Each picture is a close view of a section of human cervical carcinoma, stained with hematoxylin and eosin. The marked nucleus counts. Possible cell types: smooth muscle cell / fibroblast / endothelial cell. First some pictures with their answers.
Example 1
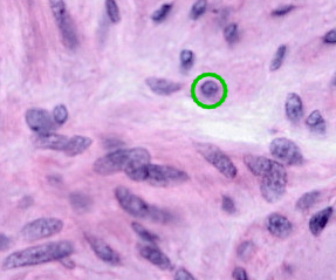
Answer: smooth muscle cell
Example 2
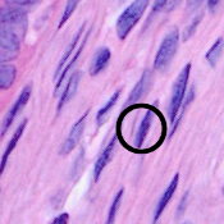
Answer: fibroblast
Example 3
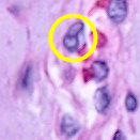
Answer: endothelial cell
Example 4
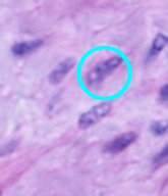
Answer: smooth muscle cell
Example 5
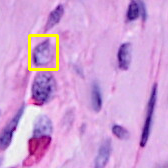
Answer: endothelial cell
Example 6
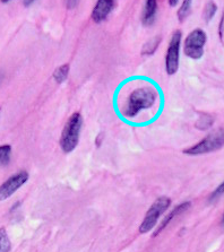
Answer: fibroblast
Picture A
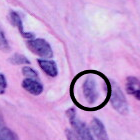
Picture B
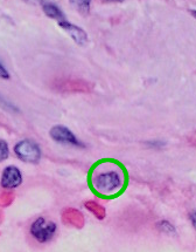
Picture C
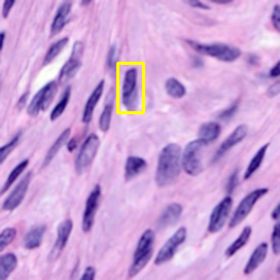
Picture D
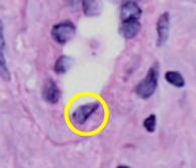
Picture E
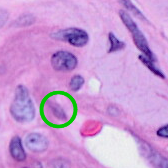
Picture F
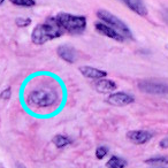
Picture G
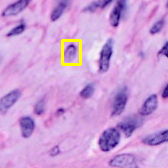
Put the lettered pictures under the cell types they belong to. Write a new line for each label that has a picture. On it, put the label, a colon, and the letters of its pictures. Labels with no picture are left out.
smooth muscle cell: F, G
fibroblast: A, C
endothelial cell: B, D, E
